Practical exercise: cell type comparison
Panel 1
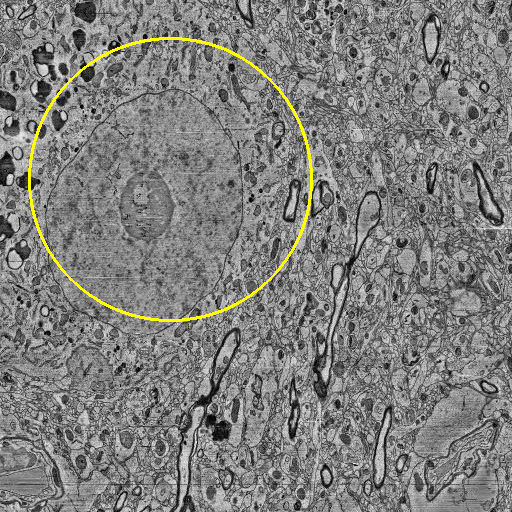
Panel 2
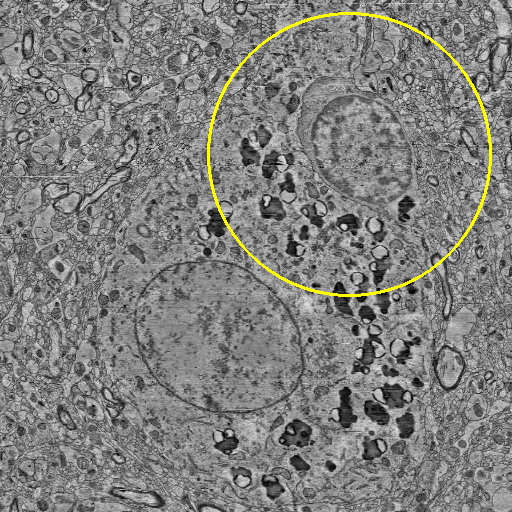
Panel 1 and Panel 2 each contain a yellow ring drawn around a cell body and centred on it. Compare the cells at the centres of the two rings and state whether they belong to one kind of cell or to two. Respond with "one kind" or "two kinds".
two kinds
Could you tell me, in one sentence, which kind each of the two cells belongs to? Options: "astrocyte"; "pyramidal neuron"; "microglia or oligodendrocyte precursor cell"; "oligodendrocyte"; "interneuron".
At the centre of the first ring sits a pyramidal neuron, and at the centre of the second sits an oligodendrocyte.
